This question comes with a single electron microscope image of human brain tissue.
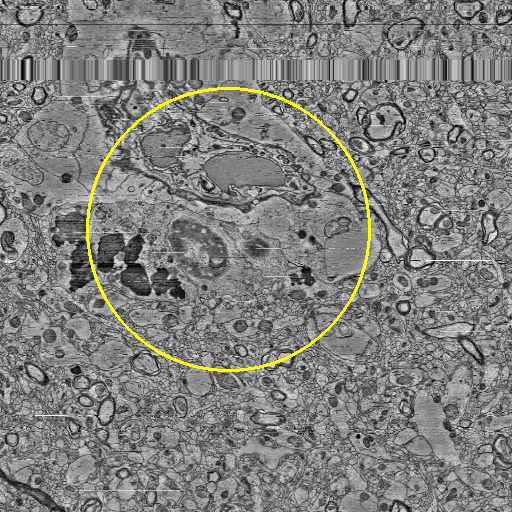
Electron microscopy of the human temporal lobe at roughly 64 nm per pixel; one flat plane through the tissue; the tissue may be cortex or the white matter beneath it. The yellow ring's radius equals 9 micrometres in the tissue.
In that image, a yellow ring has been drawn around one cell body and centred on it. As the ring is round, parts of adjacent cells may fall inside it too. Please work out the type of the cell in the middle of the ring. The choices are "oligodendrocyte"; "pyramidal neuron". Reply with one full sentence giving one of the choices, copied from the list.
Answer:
Of the choices, an oligodendrocyte is the cell sitting in the middle of the ring.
